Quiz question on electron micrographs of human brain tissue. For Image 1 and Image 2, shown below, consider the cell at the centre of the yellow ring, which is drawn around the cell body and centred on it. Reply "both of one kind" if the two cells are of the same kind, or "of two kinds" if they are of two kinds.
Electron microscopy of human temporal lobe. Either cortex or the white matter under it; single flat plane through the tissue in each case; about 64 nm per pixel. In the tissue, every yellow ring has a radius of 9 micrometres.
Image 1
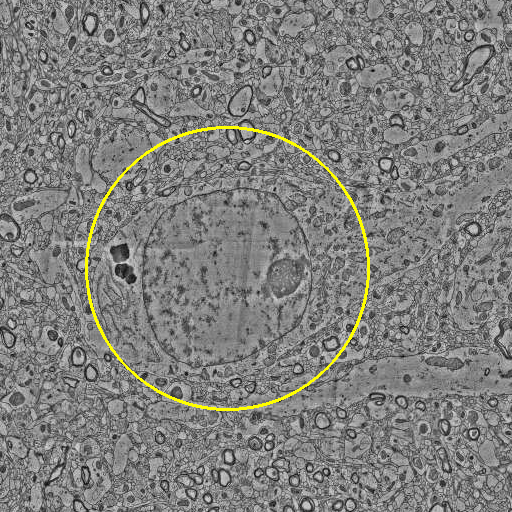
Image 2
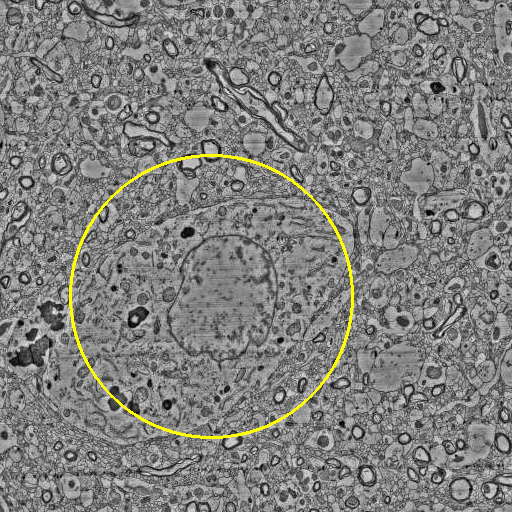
both of one kind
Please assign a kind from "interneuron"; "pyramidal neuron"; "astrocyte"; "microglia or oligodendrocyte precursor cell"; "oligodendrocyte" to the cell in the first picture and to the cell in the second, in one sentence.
Both pictures show a pyramidal neuron at the centre of the ring.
